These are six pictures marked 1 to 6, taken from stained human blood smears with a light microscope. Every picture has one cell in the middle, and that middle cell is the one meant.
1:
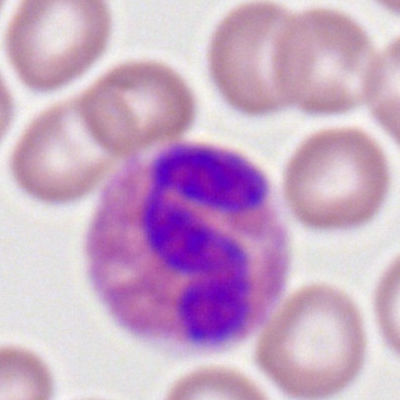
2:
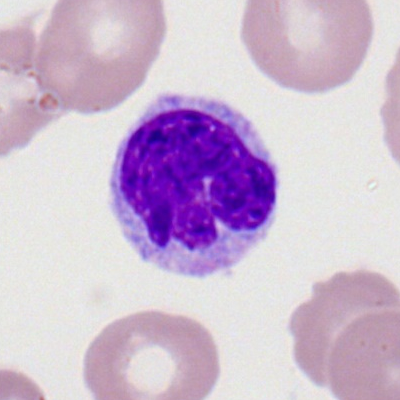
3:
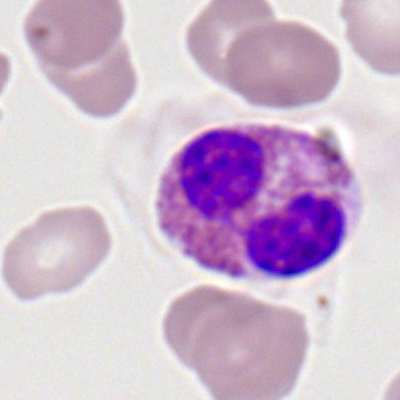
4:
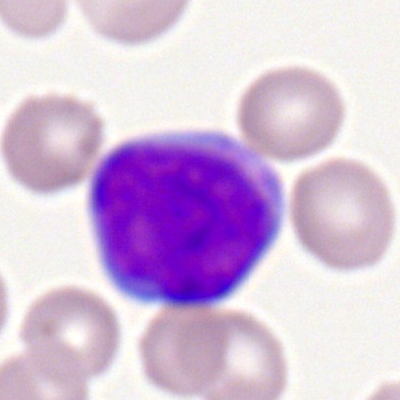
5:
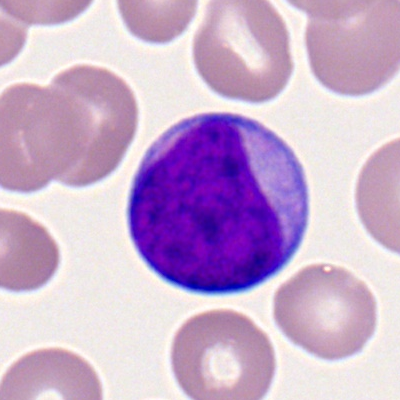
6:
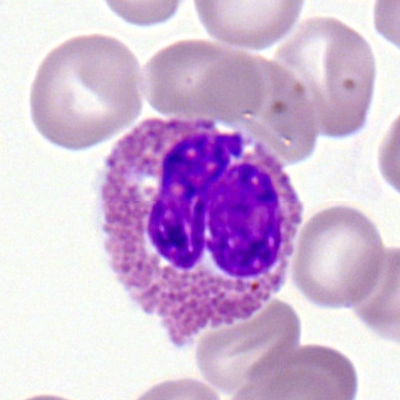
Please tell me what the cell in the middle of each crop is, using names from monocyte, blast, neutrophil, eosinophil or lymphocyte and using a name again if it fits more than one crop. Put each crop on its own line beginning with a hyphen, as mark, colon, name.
- 1: eosinophil
- 2: monocyte
- 3: eosinophil
- 4: blast
- 5: blast
- 6: eosinophil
